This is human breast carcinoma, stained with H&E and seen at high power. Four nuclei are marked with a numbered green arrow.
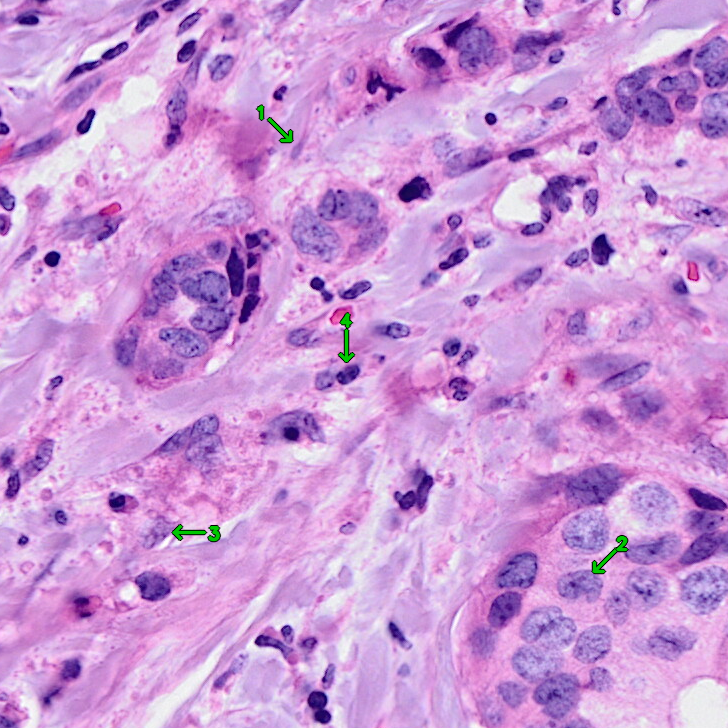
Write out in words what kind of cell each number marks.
Cell 1 is a fibroblast, cell 2 is a carcinoma cell, cell 3 is a fibroblast and cell 4 is a lymphocyte.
